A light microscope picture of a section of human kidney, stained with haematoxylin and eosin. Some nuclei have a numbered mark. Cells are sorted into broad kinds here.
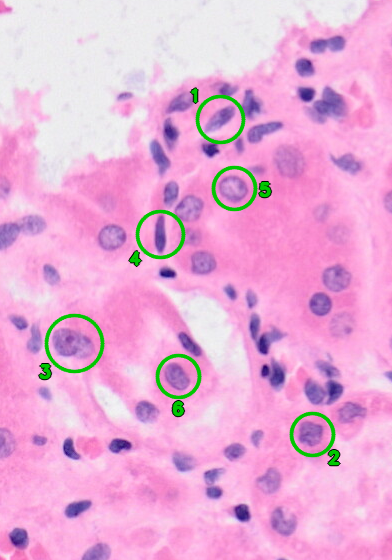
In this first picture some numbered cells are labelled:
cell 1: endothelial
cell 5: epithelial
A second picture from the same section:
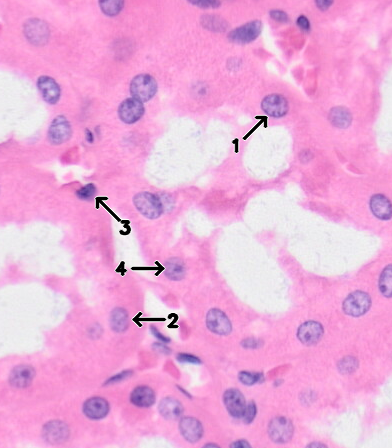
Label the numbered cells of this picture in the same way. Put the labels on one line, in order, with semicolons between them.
epithelial; epithelial; endothelial; epithelial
